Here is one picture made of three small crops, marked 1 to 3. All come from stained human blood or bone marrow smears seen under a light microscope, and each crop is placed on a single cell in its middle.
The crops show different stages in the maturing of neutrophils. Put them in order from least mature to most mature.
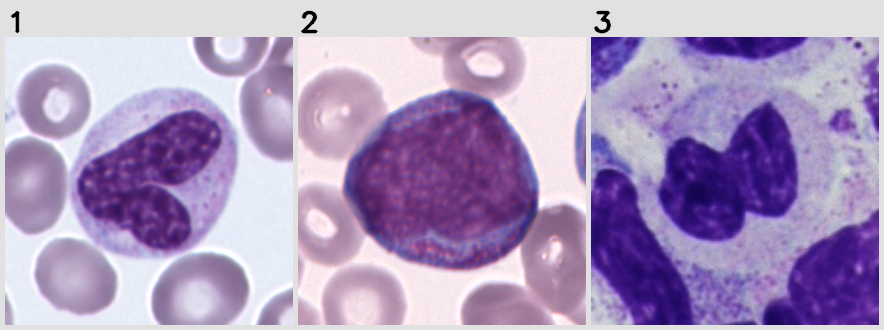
2, 1, 3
